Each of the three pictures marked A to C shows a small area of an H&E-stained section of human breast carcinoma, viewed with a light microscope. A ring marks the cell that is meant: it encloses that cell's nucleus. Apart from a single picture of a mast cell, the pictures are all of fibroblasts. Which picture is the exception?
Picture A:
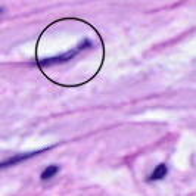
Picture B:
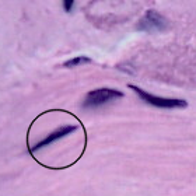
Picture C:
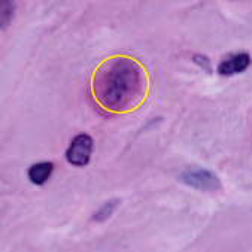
C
